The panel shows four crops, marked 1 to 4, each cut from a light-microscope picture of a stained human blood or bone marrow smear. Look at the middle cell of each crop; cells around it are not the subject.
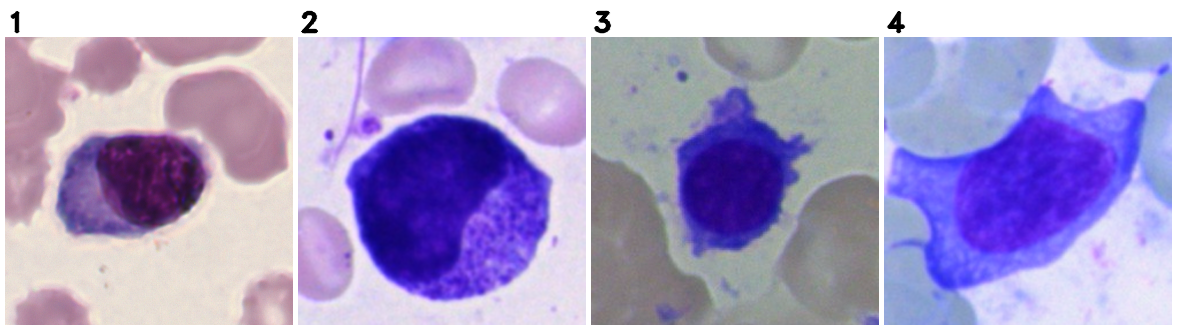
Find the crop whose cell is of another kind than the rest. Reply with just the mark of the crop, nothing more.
2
